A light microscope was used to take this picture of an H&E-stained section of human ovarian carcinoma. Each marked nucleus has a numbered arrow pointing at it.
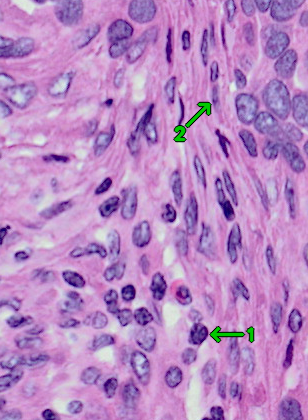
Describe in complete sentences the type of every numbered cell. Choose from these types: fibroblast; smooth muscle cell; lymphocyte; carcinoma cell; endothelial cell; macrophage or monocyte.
Cell 1 is a lymphocyte. Cell 2 is a fibroblast.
